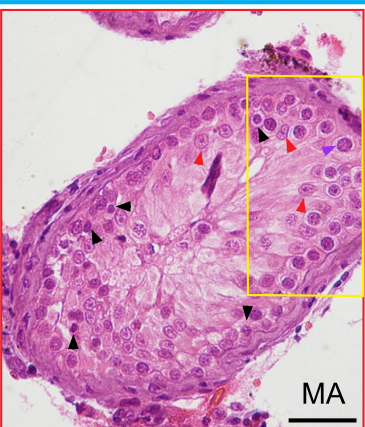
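Pale, irregular Sertoli cell nuclei with distinct nucleoli lie within pale pink, fibrillar cytoplasm. No small dark elongated spermatid heads are seen and no open lumen with free germ cells is present; the centre is filled with pale, streaming cytoplasm.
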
